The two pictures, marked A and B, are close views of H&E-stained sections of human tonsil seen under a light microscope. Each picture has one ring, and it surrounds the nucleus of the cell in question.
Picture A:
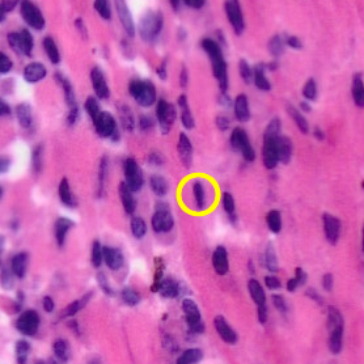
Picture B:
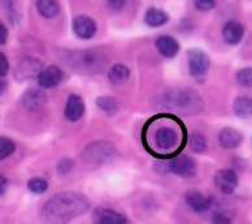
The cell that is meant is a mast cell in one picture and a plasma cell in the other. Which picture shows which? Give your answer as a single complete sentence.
It is picture A that shows a mast cell, and picture B that shows a plasma cell.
